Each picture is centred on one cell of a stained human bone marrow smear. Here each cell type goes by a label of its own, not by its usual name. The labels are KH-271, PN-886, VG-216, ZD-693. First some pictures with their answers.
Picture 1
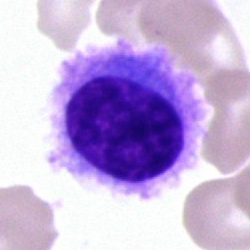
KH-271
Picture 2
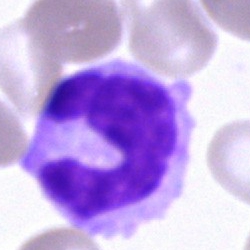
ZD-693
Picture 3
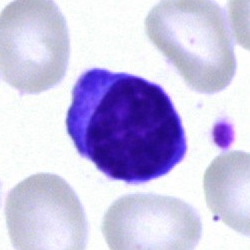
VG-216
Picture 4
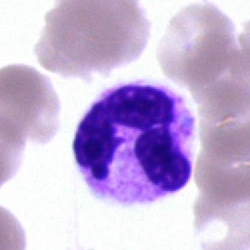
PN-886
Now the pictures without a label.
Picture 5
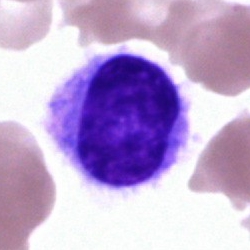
KH-271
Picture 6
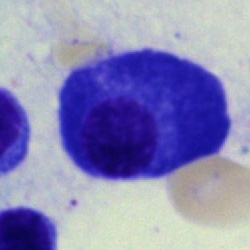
VG-216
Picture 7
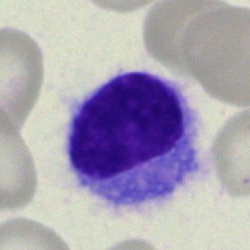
KH-271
